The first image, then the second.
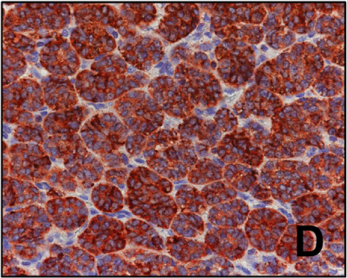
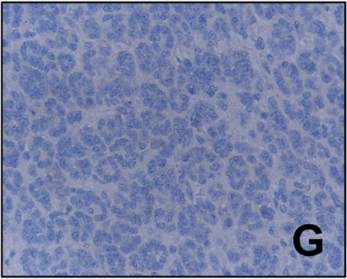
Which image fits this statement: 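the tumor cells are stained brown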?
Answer: The first image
